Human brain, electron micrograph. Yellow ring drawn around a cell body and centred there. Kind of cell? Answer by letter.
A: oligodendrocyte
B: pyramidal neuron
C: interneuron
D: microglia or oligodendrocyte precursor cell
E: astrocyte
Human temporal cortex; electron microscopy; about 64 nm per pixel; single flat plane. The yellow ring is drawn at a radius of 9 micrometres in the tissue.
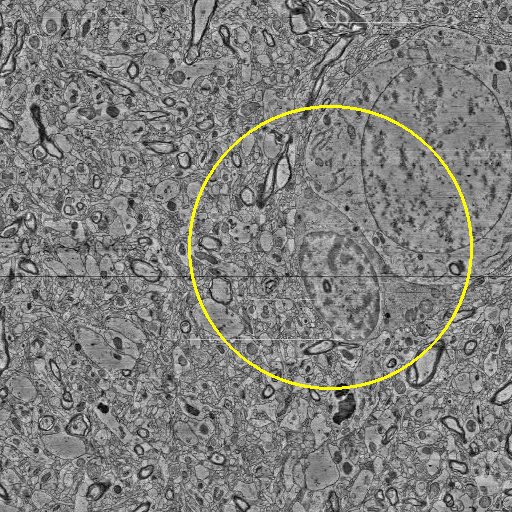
A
